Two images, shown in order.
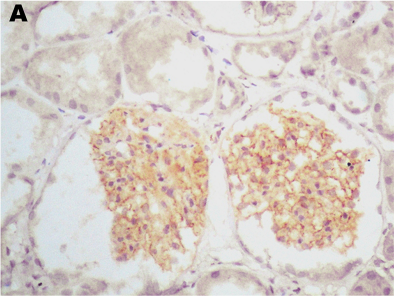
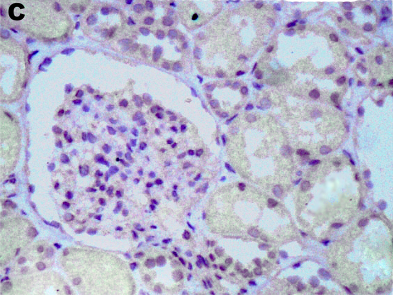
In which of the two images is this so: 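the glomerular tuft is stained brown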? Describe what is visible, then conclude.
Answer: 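The first image. Second image: the glomerular tuft shows blue nuclei without brown colour. First image: both glomerular tufts are diffusely brown.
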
